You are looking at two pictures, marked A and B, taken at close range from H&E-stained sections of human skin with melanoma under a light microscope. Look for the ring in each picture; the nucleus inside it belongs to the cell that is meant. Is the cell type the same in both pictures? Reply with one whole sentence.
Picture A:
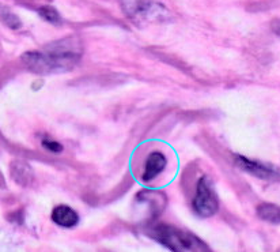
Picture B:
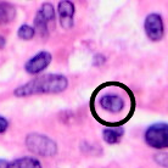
Yes, both are lymphocytes.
